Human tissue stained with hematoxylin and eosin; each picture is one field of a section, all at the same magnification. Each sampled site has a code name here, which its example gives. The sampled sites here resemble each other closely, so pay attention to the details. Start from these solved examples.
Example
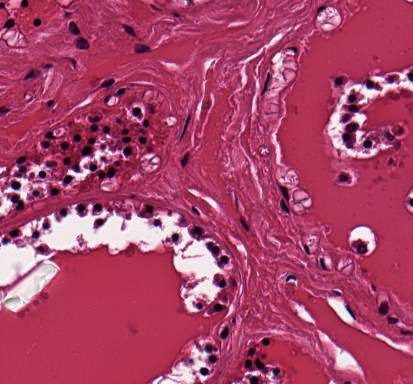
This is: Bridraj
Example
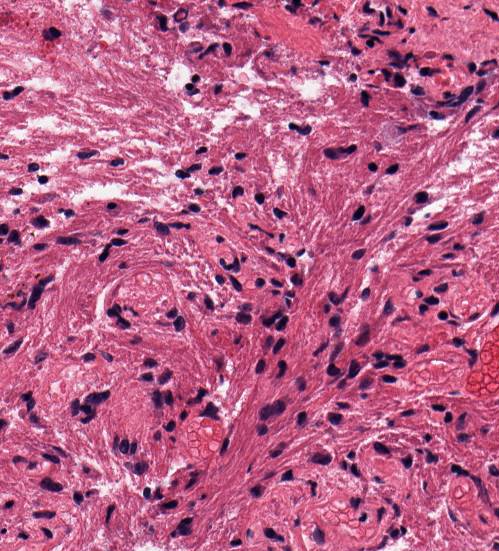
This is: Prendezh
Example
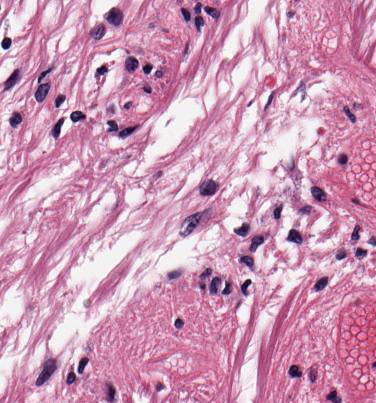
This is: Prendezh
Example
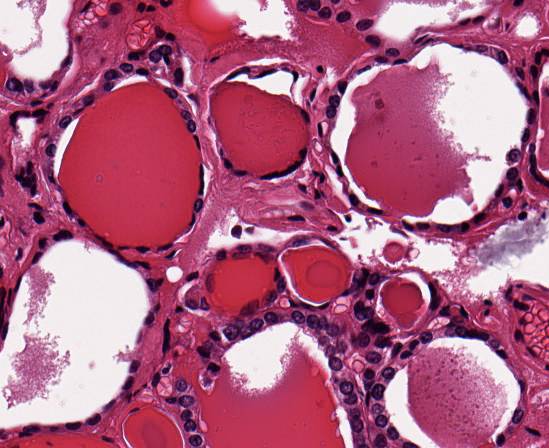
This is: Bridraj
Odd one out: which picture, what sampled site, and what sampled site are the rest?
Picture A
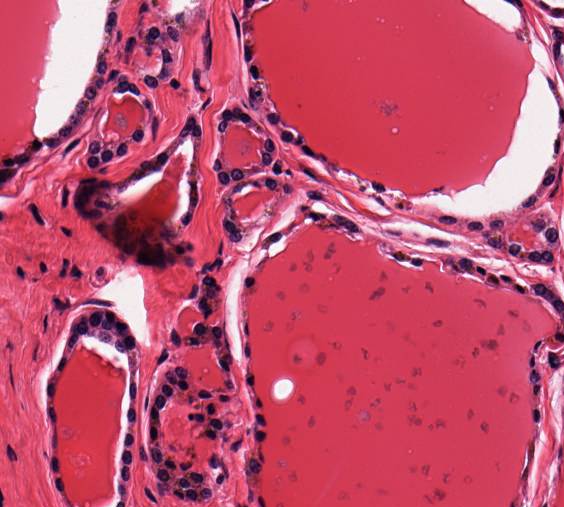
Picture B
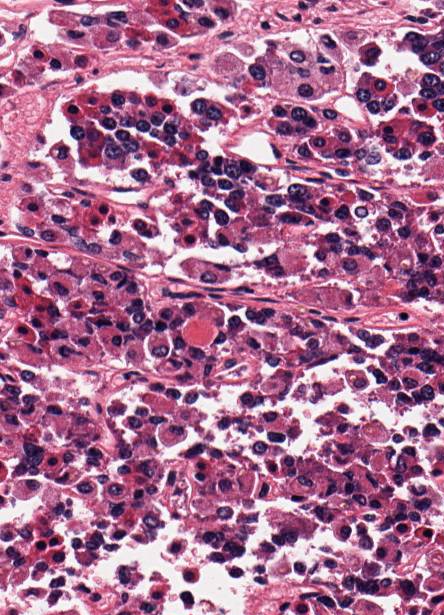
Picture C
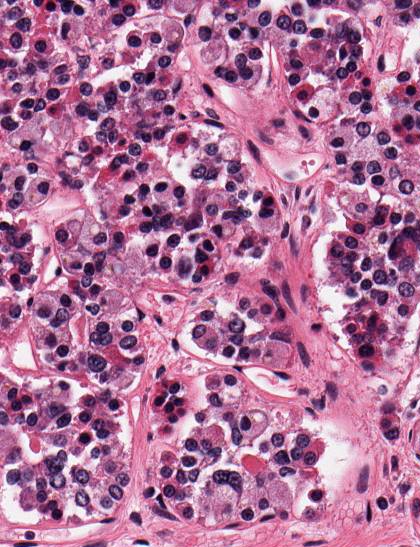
A: Bridraj; all the others: Prendezh.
